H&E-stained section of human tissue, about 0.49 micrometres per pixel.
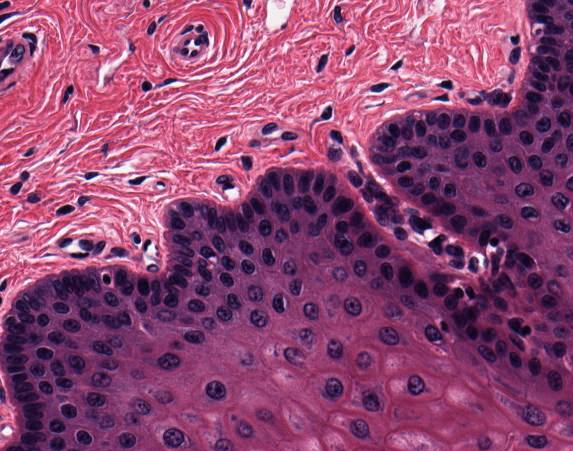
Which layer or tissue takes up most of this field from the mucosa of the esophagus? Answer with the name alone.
stratified squamous nonkeratinized epithelium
